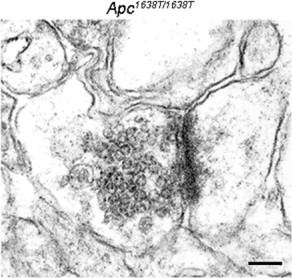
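A membrane-bound nerve terminal in the centre is filled with a cluster of small, round, clear vesicles, and where it meets the neighbouring profile on the right a dark, thickened band lines the opposite membrane. Surrounding it are many thin membranes of tightly packed neighbouring processes. This is a chemical synapse, the vesicle-filled presynaptic terminal facing an electron-dense layer on the postsynaptic side.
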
